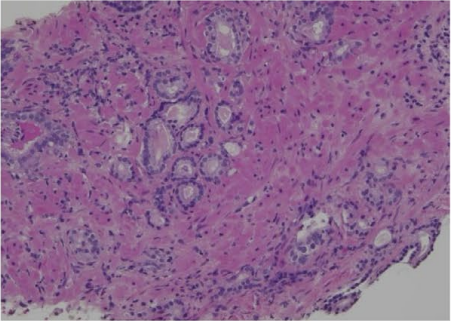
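This prostate tissue contains many small glands crowded within pink fibromuscular stroma. The glands are round to oval and vary somewhat in size. The glands lie close together, and some appear to infiltrate between the stromal fibers. The surrounding stroma is eosinophilic and holds scattered elongated nuclei. The gland outlines are simple, without the large, folded shape of ordinary glands.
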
